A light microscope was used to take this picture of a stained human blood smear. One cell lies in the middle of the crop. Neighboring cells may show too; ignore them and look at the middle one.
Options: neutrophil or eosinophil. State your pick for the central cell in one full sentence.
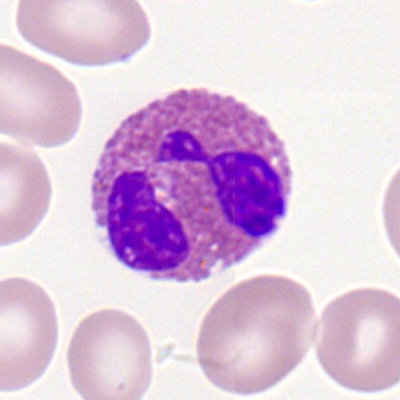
Classified as an eosinophil is the cell in the middle of this crop.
